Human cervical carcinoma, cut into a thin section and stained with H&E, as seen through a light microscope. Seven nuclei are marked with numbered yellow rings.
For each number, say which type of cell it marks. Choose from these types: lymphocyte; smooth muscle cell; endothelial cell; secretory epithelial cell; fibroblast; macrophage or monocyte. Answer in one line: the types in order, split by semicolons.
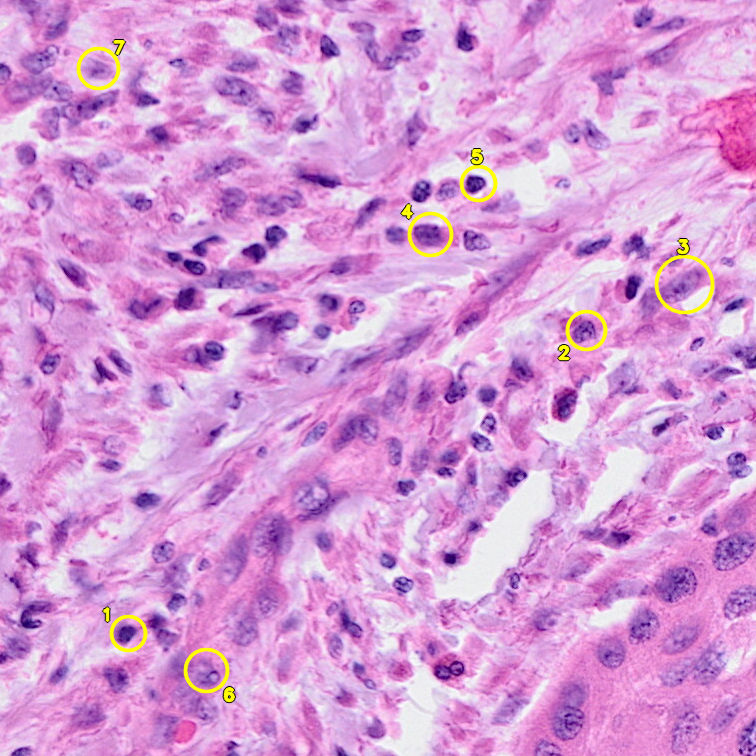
lymphocyte; macrophage or monocyte; endothelial cell; macrophage or monocyte; lymphocyte; endothelial cell; fibroblast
